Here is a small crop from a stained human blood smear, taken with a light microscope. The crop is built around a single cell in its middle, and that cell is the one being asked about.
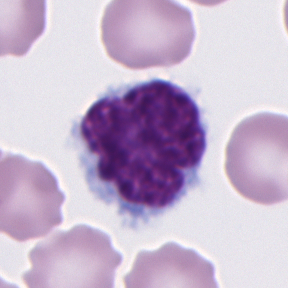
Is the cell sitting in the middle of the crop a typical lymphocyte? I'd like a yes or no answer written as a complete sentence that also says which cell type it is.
No, the cell located centrally is a hairy cell rather than a typical lymphocyte.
